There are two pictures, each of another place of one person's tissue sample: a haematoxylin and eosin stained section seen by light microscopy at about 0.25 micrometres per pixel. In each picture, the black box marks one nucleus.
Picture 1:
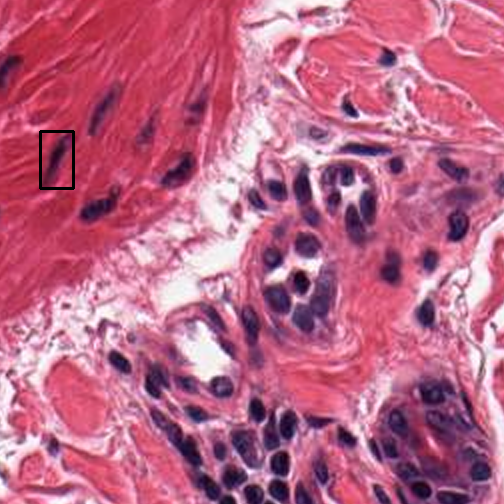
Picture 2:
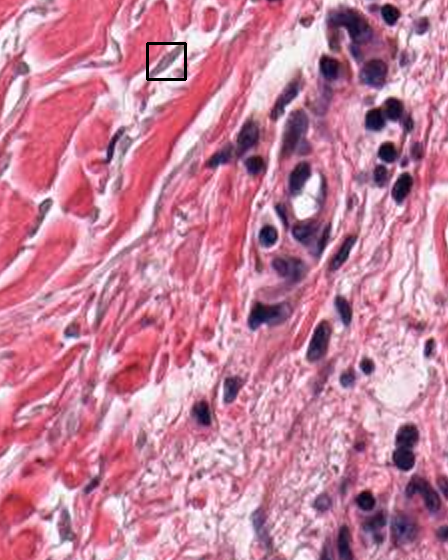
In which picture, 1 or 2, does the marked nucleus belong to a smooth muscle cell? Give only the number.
1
